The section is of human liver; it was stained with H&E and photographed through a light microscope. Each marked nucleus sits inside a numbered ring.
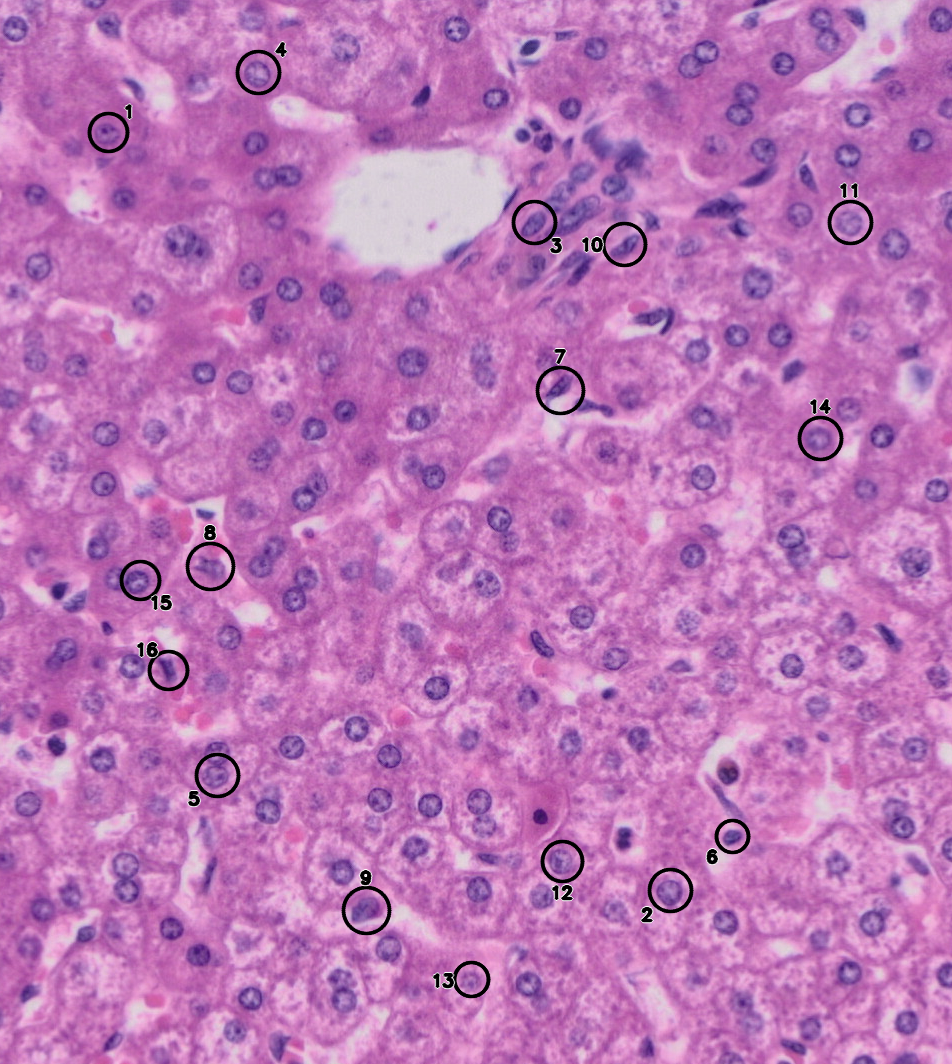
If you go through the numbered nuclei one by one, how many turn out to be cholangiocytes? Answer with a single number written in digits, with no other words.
1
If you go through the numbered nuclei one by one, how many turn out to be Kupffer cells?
2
